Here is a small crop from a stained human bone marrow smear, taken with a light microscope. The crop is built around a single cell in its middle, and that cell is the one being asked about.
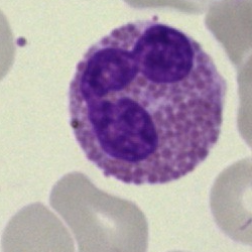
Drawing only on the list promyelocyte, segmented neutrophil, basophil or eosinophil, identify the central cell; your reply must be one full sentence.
Within this crop, an eosinophil occupies the central position.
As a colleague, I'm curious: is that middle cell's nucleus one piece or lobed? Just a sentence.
Segmentation of the nucleus into two or more lobes is the finding.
